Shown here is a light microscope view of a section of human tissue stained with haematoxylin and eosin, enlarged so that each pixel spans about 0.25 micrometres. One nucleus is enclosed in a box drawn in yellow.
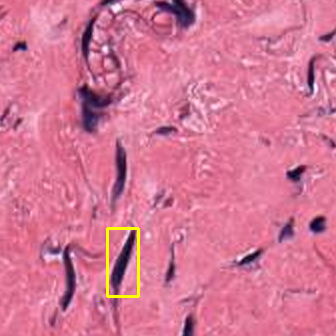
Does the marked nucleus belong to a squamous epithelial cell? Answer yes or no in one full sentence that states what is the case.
No, the marked nucleus is located in a supporting cell and not in a squamous epithelial cell.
